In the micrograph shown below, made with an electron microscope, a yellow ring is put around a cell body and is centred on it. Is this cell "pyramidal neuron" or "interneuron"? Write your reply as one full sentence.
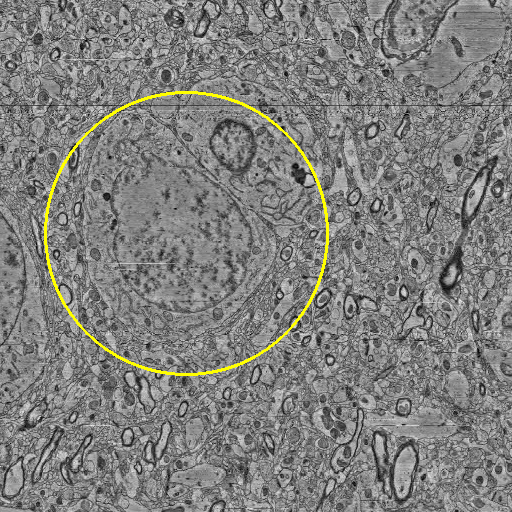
In the micrograph, an interneuron is the cell at the centre of the yellow ring.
